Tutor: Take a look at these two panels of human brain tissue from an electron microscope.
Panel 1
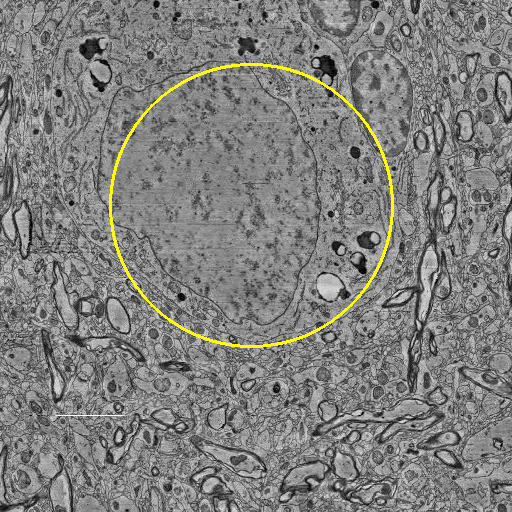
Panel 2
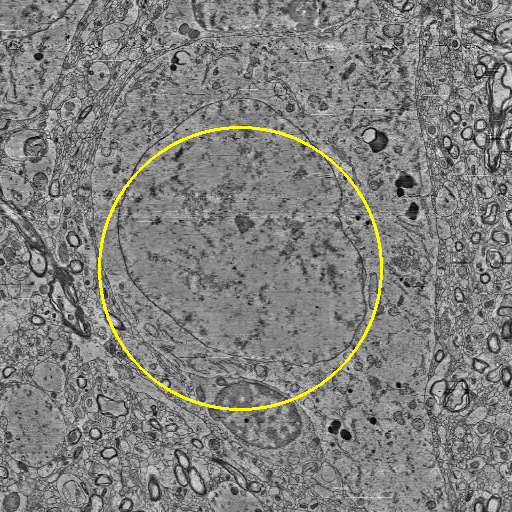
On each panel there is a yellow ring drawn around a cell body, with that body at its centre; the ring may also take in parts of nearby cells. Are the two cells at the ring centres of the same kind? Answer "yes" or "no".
yes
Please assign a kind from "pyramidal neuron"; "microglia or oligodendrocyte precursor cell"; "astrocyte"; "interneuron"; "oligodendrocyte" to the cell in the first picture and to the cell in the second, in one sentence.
In the first picture and in the second, the ring is centred on a pyramidal neuron.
